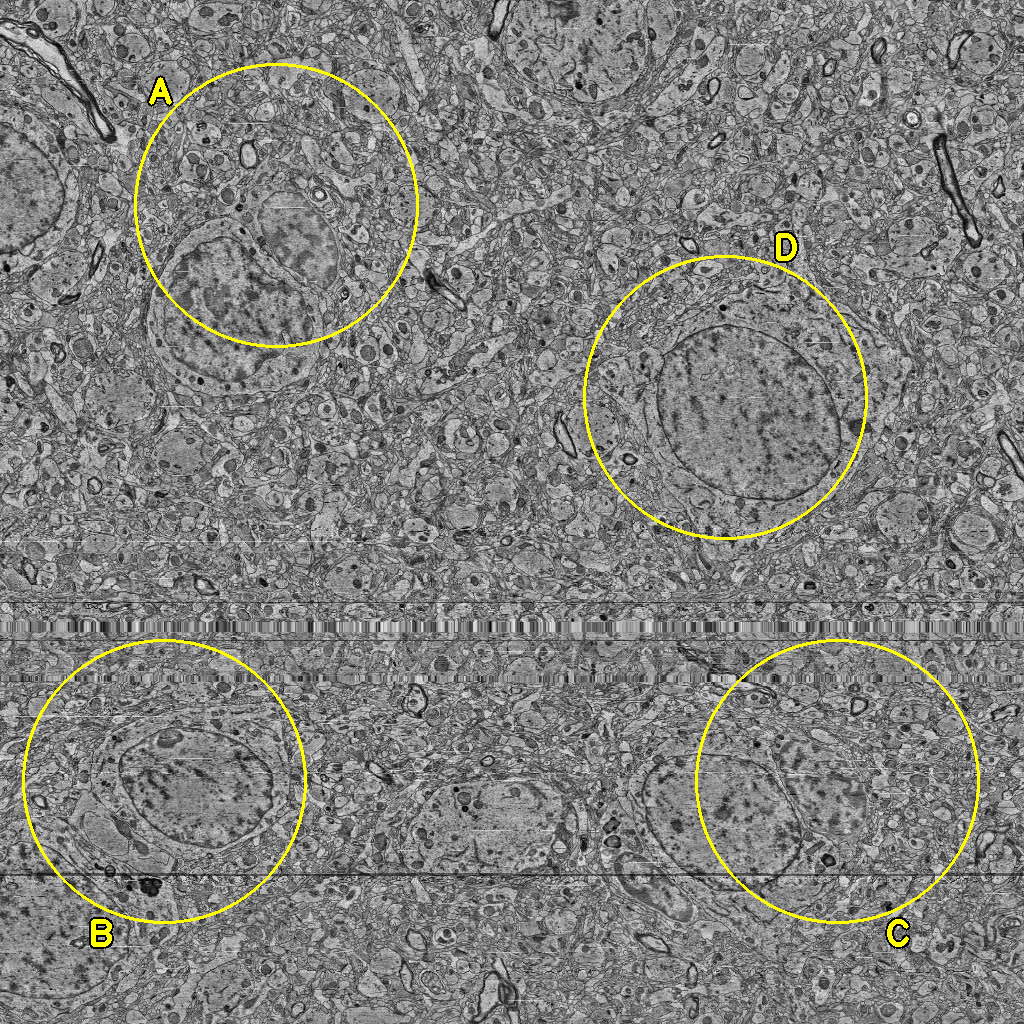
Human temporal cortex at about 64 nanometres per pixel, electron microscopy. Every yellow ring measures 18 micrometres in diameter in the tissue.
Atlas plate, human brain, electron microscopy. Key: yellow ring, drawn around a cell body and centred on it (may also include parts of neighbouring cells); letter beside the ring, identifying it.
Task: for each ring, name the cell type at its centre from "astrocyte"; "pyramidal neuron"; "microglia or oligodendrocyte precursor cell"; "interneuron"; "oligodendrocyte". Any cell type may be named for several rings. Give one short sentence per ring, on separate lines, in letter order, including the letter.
Ring A is centred over an oligodendrocyte.
Ring B is centred over a pyramidal neuron.
Ring C is centred over an oligodendrocyte.
Ring D is centred over a pyramidal neuron.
